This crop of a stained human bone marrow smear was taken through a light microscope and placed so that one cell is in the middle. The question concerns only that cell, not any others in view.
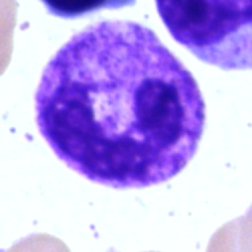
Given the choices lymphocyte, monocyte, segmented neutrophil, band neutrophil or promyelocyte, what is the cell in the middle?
band neutrophil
